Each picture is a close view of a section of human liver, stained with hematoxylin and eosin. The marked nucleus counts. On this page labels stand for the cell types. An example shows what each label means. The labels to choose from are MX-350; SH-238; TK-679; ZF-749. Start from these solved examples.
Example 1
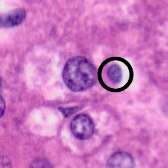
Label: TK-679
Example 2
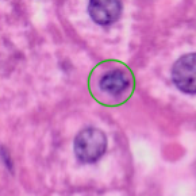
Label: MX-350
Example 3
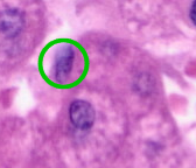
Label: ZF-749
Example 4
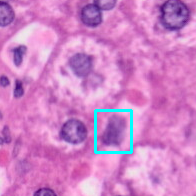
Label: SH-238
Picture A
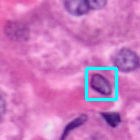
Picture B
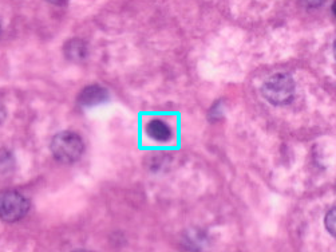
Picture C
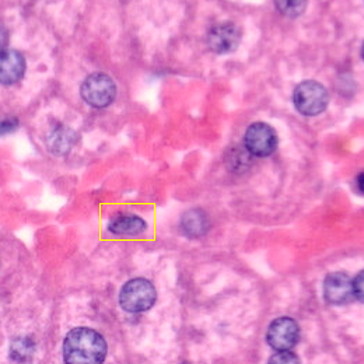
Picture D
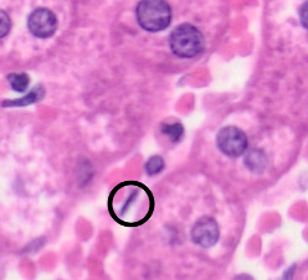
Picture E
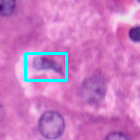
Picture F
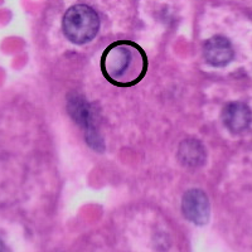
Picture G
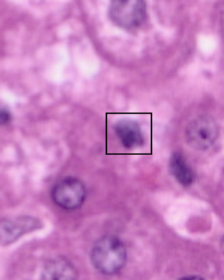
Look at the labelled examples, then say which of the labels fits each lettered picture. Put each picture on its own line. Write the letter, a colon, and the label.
A: ZF-749
B: TK-679
C: SH-238
D: SH-238
E: SH-238
F: SH-238
G: SH-238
